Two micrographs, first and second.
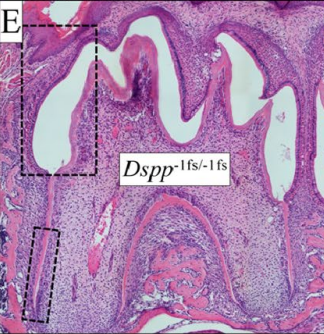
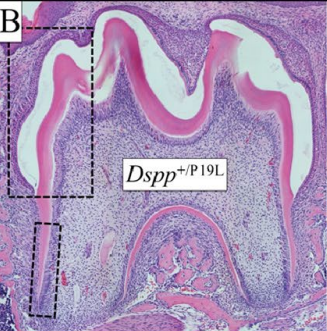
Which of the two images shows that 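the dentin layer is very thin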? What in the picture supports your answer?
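First image: the pink layer around the pulp is a narrow band along the cusps. Second image: the pink layer around the pulp is broad and thick along the crown walls. On this evidence: the first image.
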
